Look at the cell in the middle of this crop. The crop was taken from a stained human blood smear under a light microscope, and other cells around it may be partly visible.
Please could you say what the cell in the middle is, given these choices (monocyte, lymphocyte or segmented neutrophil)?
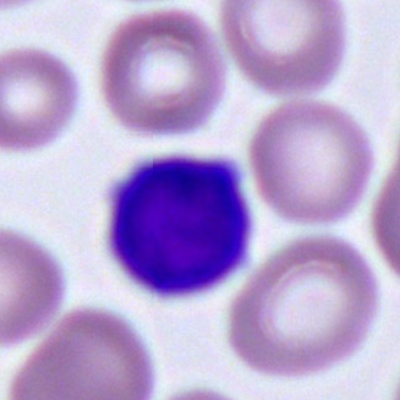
lymphocyte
